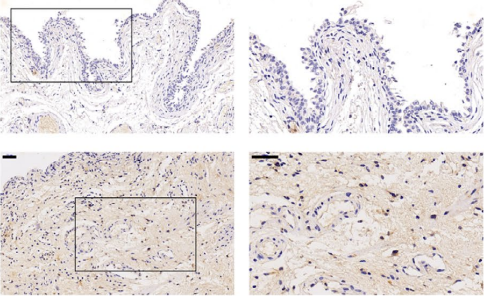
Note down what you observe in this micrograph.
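In the upper row, a folded epithelial lining made of a few layers of cells with blue, rounded to oval nuclei rests on loose, pale connective tissue that contains scattered spindle-shaped nuclei. Brown staining in this row is sparse and faint. In the lower row, the tissue is a disorganized field of cells with irregular, oval to elongated blue nuclei scattered through a fibrous background. A diffuse pale brown stain spreads across much of this field, with some darker brown around individual cells.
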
